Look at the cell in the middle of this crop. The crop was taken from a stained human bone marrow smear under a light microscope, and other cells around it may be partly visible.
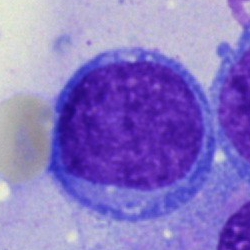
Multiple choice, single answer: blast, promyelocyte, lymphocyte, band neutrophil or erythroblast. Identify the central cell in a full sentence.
The central cell shown in this smear crop is a blast.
